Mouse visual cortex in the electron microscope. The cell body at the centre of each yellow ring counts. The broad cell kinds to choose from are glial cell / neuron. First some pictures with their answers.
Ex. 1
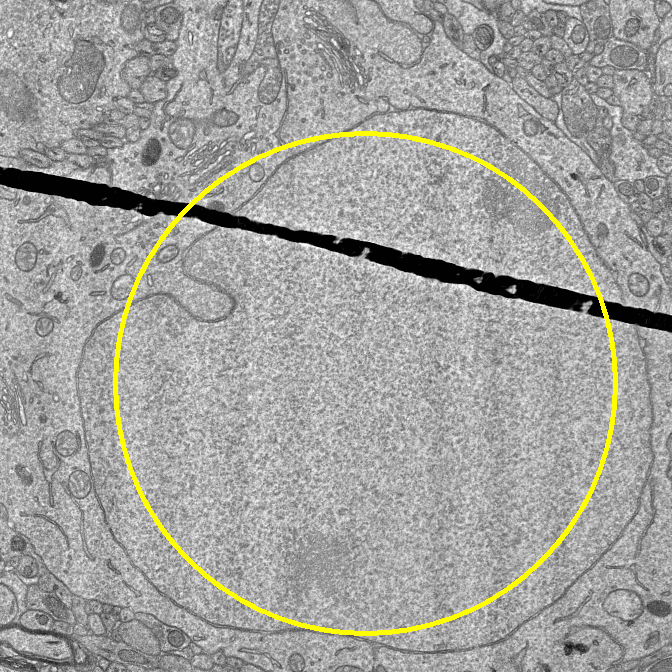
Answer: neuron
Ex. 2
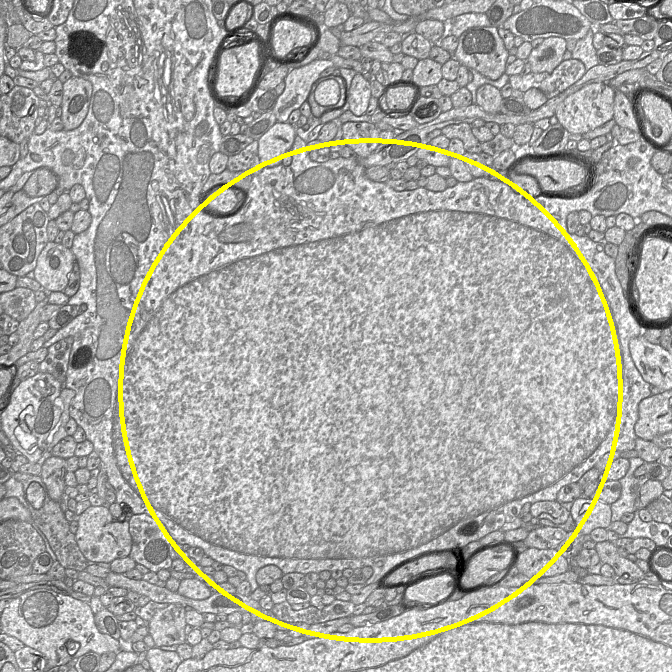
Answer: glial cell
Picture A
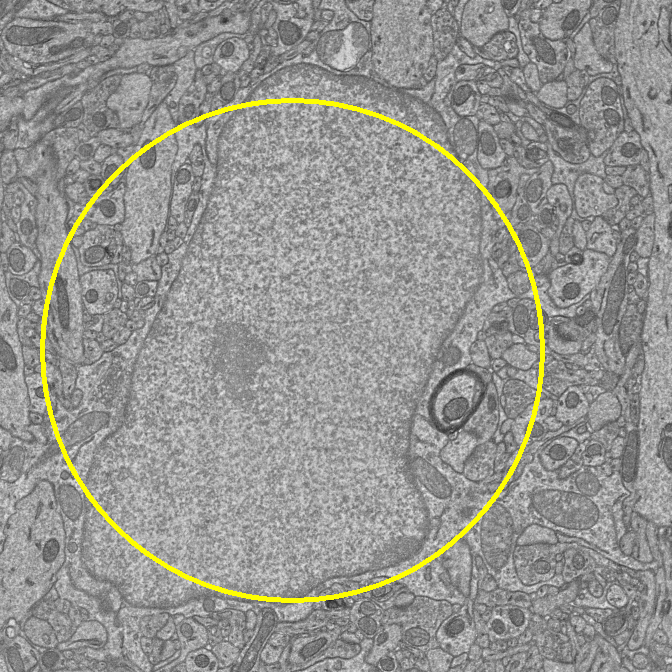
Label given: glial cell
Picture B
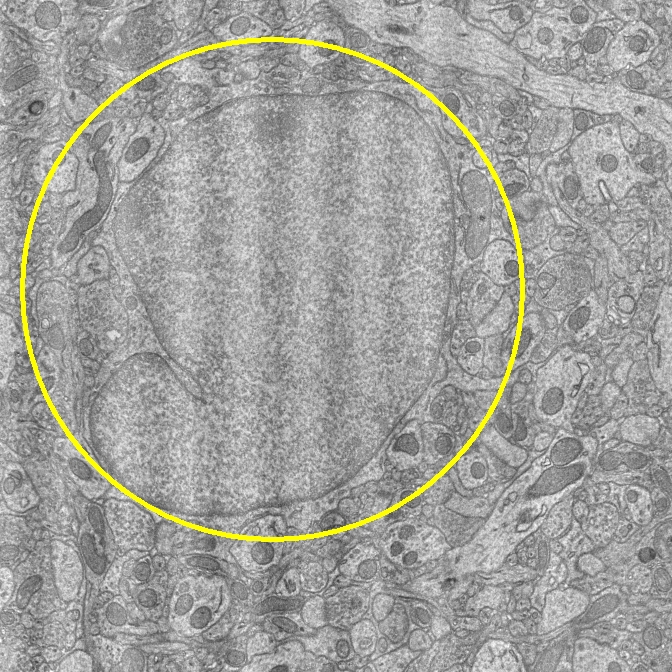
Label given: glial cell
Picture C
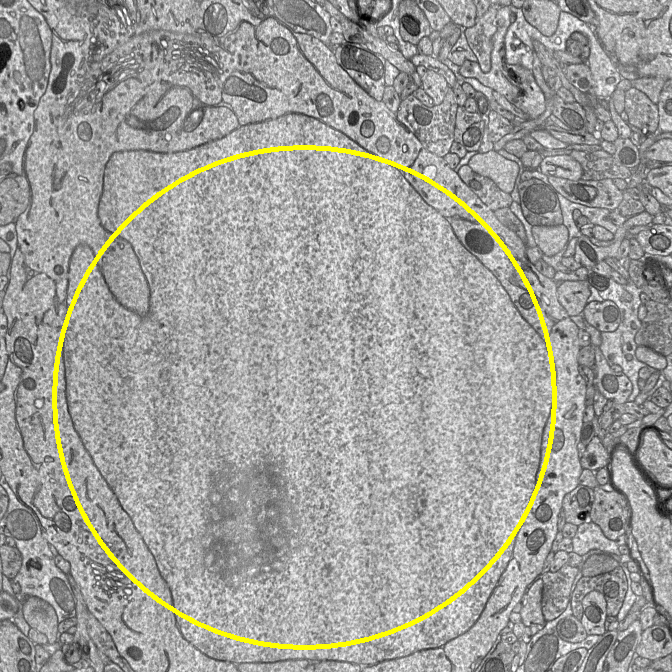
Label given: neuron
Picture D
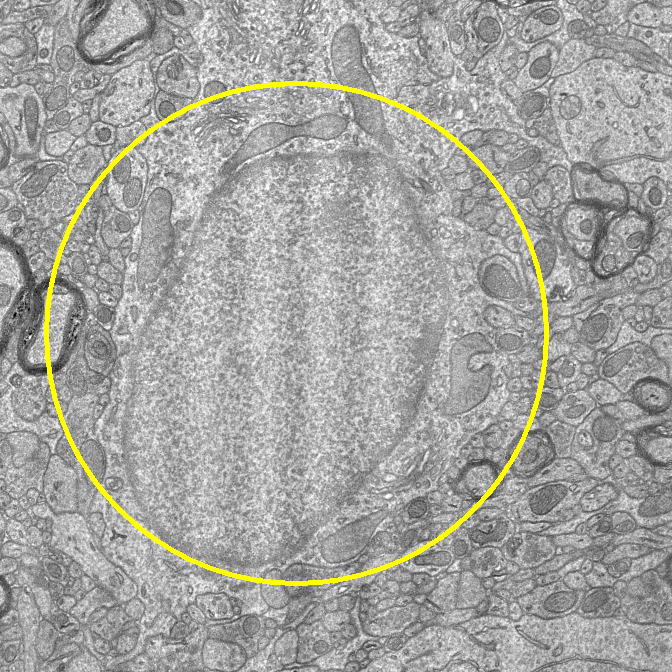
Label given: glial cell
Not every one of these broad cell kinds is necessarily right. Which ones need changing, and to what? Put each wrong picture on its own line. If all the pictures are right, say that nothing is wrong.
Nothing to fix; every label fits.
